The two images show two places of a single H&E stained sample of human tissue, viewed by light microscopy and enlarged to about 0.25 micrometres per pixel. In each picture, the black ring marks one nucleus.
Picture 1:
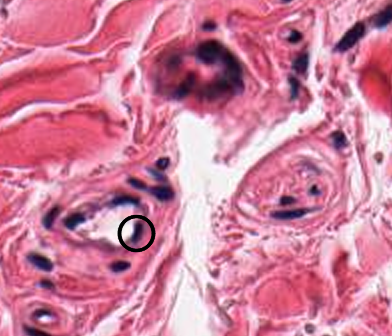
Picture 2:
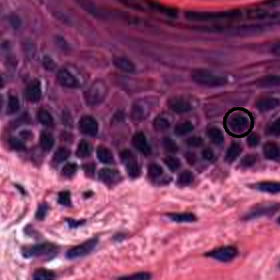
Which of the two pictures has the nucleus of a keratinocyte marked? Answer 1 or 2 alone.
2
